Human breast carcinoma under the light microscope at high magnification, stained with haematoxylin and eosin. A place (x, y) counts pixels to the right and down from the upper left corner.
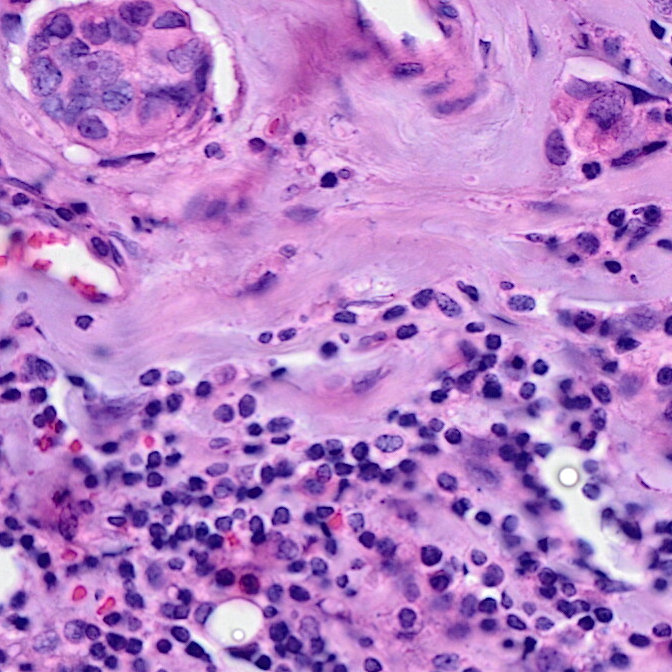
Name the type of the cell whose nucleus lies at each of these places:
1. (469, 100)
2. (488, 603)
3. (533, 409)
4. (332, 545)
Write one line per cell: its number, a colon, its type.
1: endothelial cell
2: lymphocyte
3: lymphocyte
4: lymphocyte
